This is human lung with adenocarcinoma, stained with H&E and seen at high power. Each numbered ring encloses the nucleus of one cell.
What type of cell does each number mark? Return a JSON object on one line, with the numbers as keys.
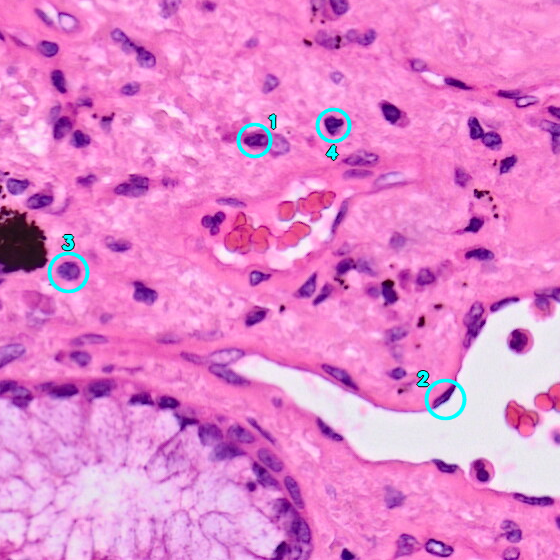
{"1": "plasma cell", "2": "endothelial cell", "3": "mast cell", "4": "lymphocyte"}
